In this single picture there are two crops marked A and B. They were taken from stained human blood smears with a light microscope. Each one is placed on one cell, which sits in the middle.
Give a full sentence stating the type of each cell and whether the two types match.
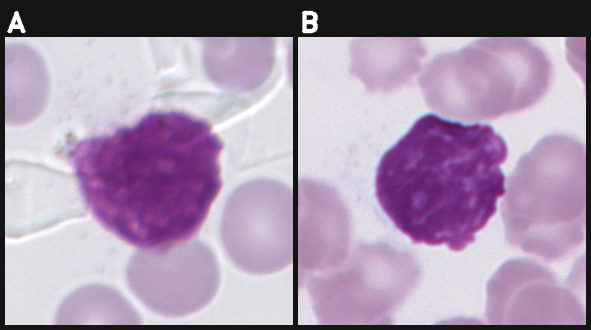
Yes, both crops show smudge cells in the middle.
